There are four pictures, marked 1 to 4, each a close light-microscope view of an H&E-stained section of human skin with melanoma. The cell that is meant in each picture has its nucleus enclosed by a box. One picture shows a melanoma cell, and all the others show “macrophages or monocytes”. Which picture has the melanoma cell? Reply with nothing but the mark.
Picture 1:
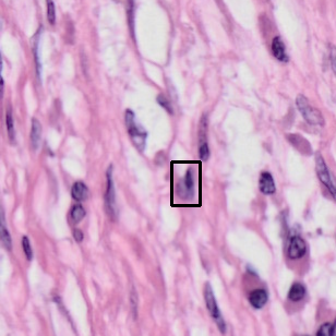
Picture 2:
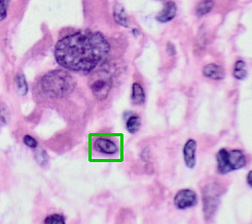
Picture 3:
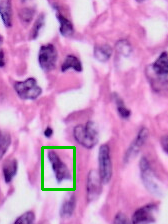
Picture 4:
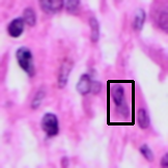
3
